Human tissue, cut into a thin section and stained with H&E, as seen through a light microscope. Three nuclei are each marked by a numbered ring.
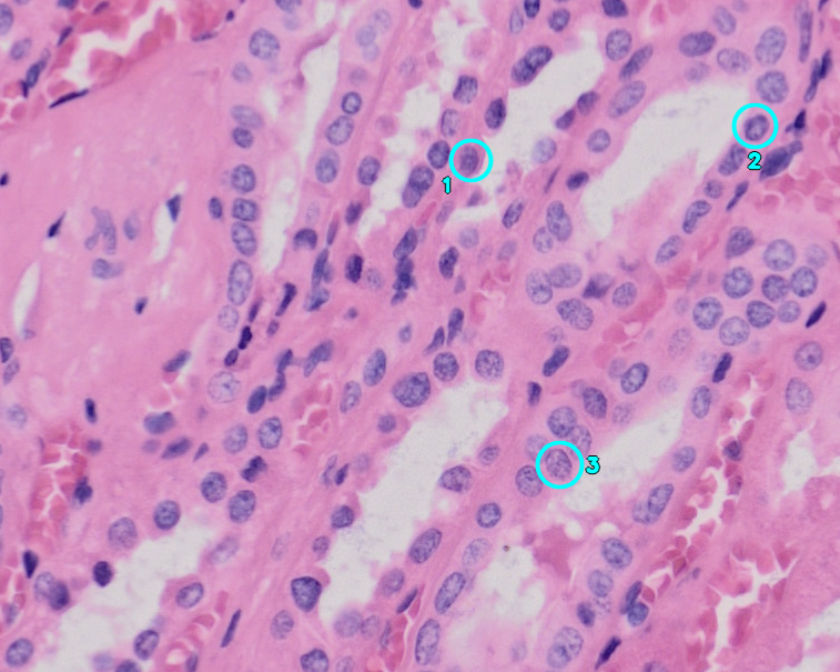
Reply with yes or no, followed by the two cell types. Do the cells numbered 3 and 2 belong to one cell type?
Yes, each of the two cells, 3 and 2, is among the collecting duct cells.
